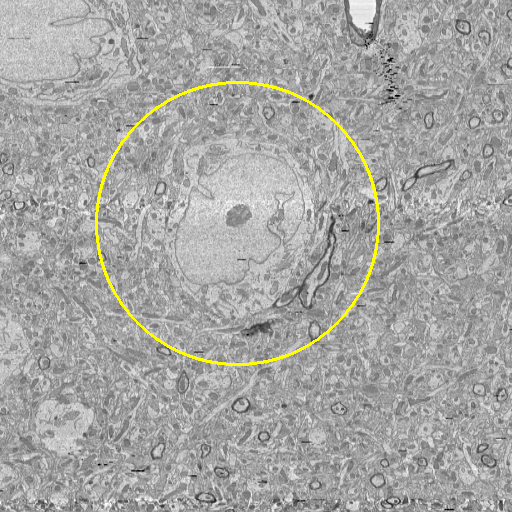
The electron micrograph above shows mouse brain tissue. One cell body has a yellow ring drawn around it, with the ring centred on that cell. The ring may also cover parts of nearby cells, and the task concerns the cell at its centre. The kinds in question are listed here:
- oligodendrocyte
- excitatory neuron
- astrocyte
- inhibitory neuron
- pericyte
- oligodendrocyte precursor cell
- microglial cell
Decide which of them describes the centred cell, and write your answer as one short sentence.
The centred cell is an inhibitory neuron.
